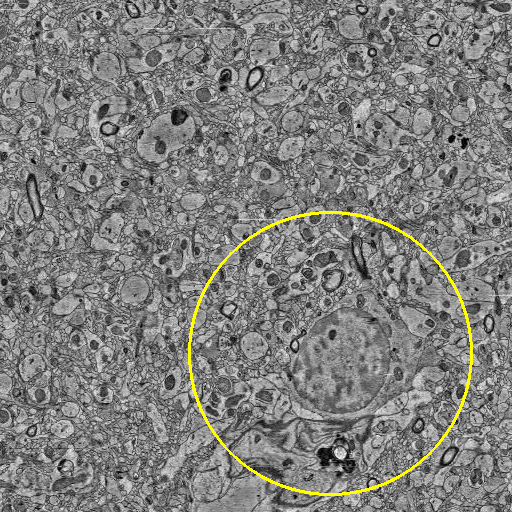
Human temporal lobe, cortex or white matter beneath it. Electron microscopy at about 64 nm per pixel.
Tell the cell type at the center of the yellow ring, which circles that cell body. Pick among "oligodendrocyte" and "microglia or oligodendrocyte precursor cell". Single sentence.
The ring is centered on the body of an oligodendrocyte.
